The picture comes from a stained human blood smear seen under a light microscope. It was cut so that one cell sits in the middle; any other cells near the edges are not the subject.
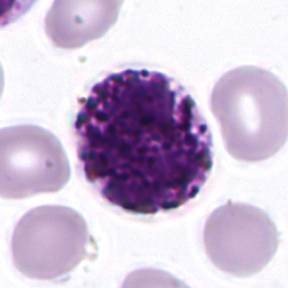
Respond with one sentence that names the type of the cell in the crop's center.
To answer, the cell in the center of the crop is a basophil.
